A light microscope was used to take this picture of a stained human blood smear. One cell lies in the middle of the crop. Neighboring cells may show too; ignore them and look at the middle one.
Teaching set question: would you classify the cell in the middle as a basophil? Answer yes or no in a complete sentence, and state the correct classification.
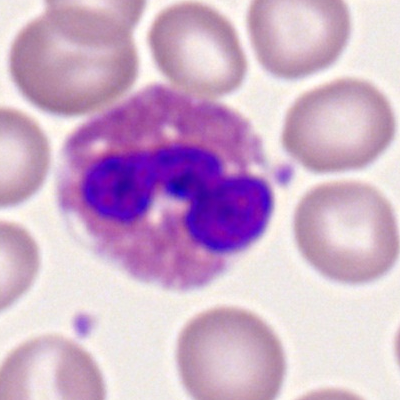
No, the centre of the crop contains an eosinophil rather than a basophil.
